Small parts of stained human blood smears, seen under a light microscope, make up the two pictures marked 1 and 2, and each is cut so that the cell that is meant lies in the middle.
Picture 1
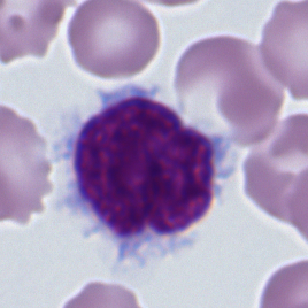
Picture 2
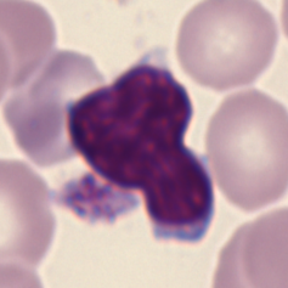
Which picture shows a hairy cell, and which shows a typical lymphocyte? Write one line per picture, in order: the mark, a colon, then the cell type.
1: hairy cell
2: typical lymphocyte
